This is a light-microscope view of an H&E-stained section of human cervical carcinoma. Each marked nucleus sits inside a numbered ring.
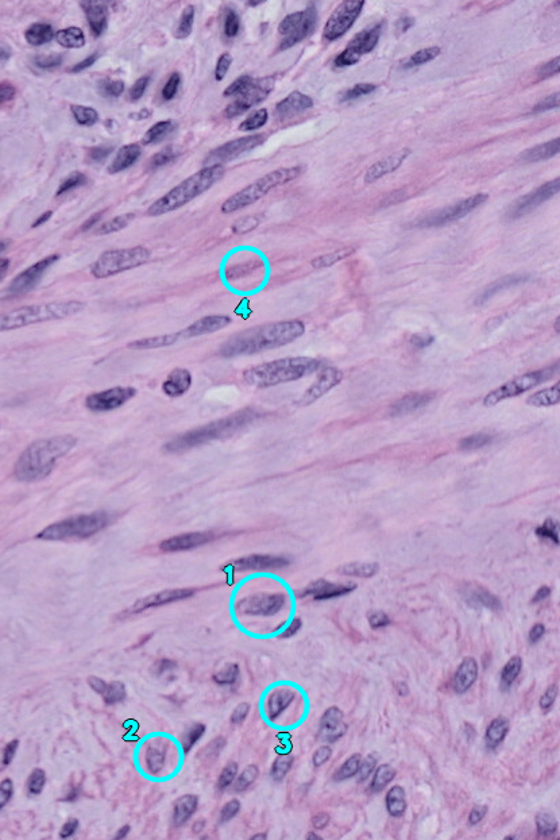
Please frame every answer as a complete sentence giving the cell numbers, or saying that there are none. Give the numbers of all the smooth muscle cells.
The numbers 2, 3 and 4 mark cells that are smooth muscle cells.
